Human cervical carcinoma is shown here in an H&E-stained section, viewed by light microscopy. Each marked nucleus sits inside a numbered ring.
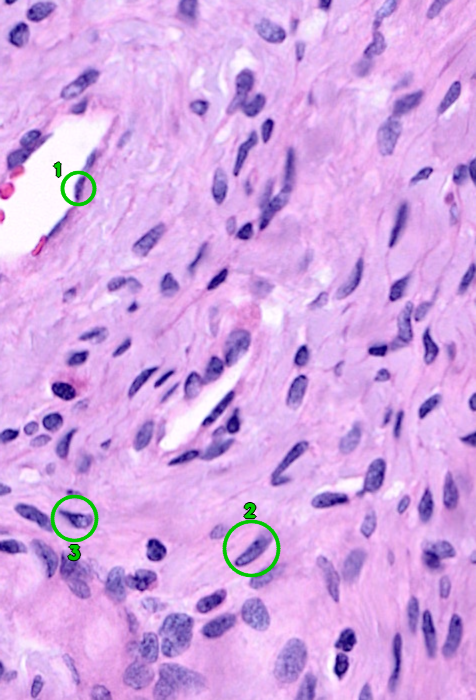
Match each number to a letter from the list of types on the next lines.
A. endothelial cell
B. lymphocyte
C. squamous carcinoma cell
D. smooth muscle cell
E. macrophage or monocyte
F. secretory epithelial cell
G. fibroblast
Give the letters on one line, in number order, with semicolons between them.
A; G; G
